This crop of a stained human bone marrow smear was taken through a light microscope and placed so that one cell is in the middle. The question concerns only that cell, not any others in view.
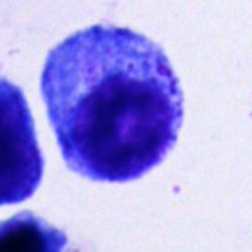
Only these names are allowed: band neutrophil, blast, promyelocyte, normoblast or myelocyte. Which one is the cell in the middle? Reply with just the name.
promyelocyte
